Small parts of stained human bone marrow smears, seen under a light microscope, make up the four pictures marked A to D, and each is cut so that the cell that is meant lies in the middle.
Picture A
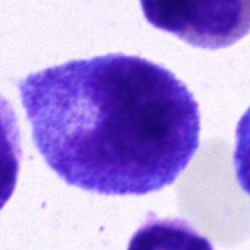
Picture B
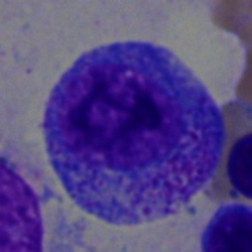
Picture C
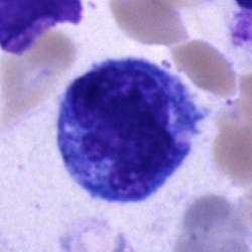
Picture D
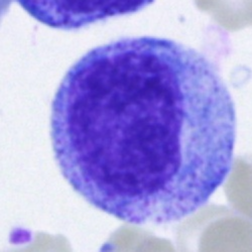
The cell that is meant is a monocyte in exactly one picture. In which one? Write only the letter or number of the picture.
C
